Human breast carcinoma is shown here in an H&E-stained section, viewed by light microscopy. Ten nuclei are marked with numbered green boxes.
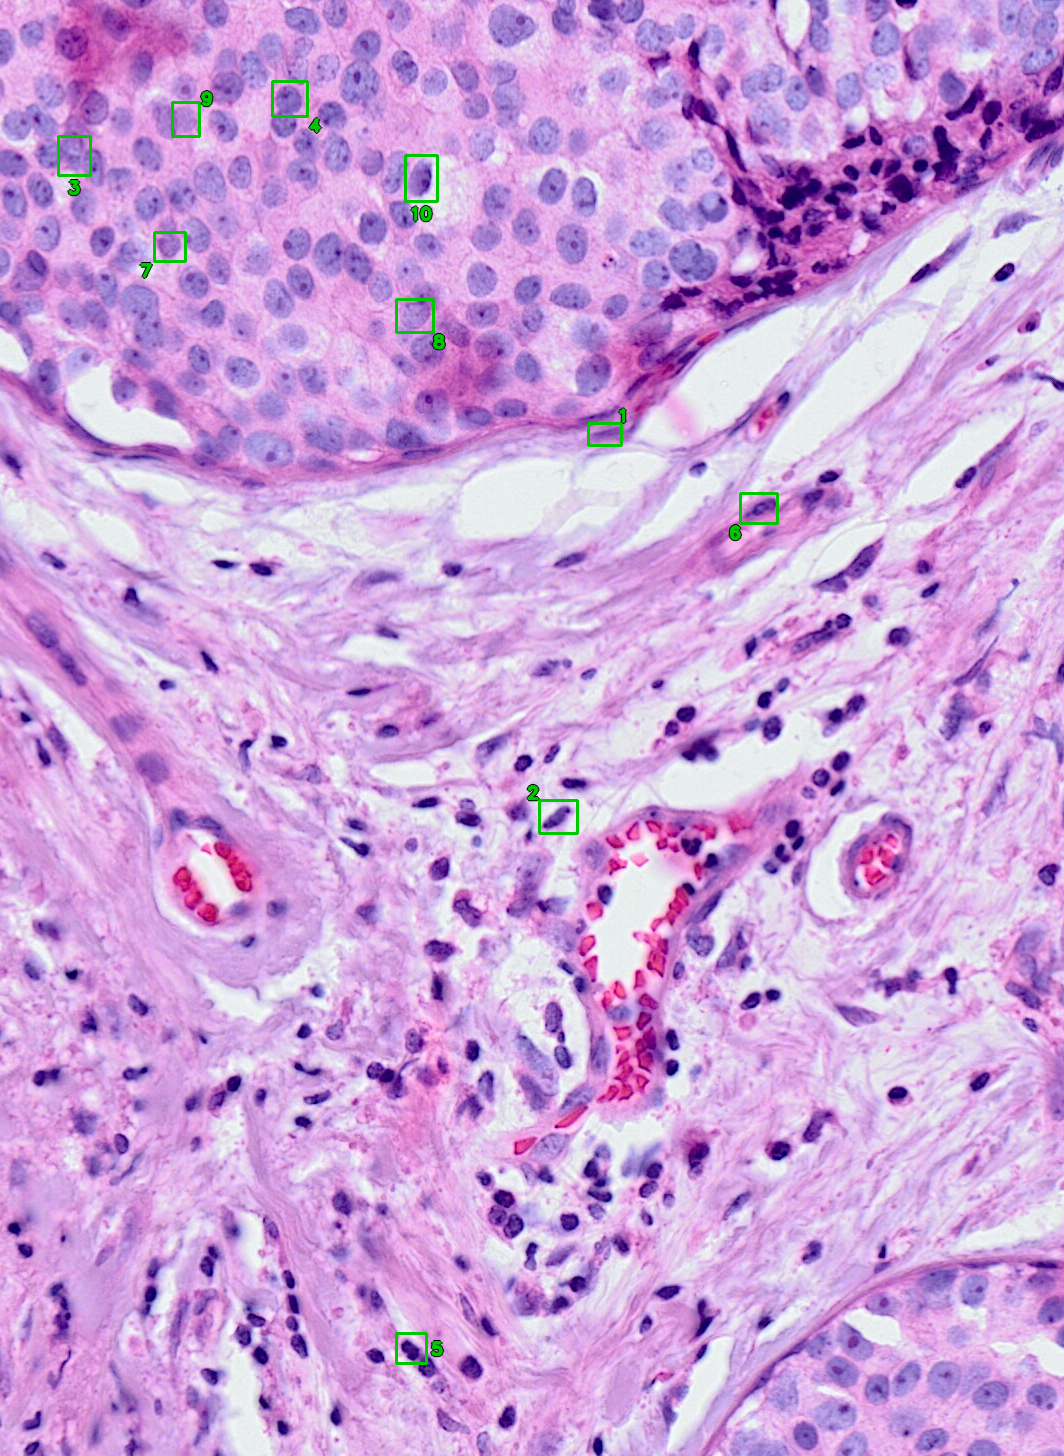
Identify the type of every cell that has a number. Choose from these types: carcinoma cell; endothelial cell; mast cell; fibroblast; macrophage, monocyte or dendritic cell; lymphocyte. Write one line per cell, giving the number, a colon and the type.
1: endothelial cell
2: lymphocyte
3: carcinoma cell
4: carcinoma cell
5: lymphocyte
6: endothelial cell
7: carcinoma cell
8: carcinoma cell
9: carcinoma cell
10: carcinoma cell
